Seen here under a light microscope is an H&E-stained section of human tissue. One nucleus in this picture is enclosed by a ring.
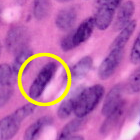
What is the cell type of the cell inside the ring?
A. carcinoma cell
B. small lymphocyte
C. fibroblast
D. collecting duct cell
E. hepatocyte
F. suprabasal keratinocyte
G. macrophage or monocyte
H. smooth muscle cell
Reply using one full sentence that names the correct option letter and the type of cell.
The choice that fits is option A, as the cell inside the ring is a carcinoma cell.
